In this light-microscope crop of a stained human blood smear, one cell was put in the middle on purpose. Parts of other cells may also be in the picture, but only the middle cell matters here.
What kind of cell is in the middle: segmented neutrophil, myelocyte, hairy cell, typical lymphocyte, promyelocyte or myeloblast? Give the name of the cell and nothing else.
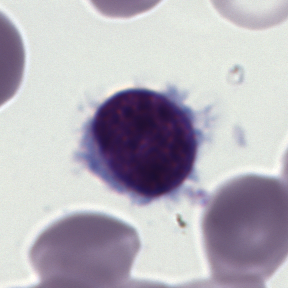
hairy cell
